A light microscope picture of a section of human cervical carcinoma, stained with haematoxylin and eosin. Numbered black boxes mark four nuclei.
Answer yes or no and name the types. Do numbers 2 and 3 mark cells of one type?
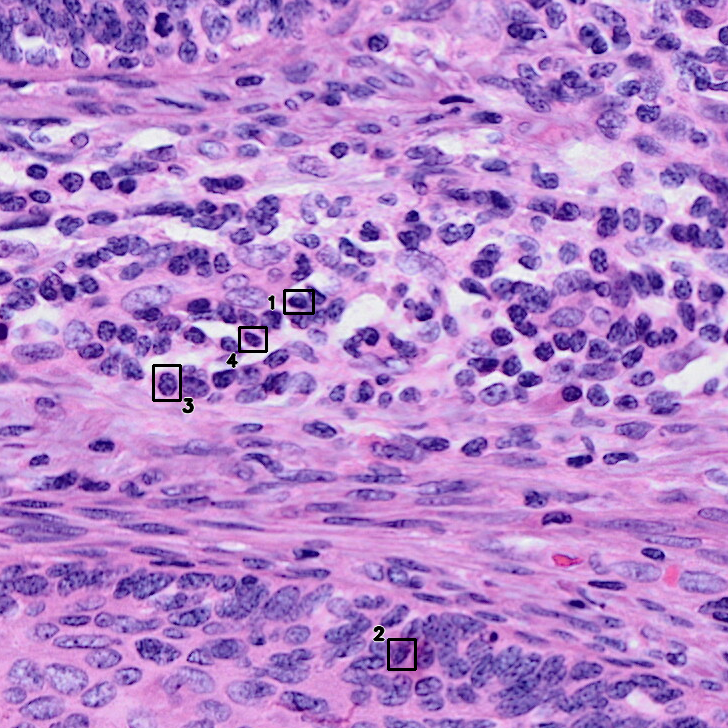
No, cell 2 is a squamous carcinoma cell; cell 3 is a lymphocyte.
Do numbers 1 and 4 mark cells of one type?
Yes, cells 1 and 4 are both lymphocytes.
